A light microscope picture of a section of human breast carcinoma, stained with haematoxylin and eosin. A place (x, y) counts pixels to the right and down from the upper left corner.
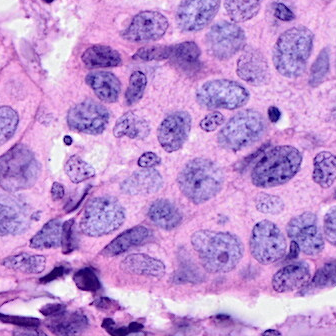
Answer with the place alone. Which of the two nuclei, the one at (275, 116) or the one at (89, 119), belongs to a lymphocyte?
(275, 116)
